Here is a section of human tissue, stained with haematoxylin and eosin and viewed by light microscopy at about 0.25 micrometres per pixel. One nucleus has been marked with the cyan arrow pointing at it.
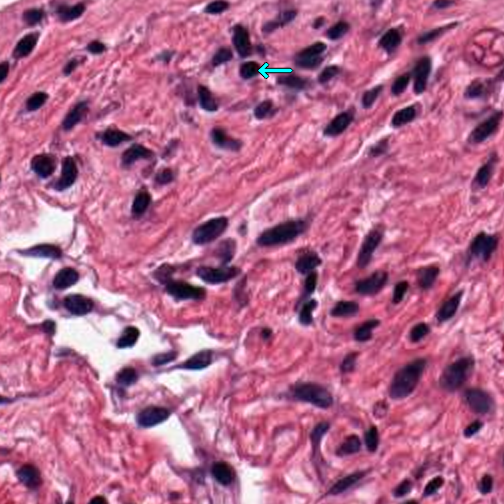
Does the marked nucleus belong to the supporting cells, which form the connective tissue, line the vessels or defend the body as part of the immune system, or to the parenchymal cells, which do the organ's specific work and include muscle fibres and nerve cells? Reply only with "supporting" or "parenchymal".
supporting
